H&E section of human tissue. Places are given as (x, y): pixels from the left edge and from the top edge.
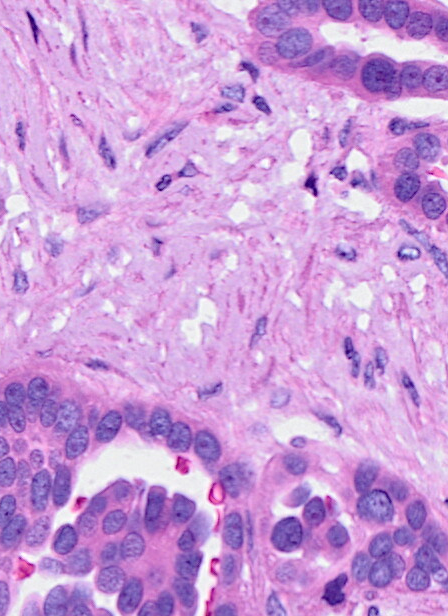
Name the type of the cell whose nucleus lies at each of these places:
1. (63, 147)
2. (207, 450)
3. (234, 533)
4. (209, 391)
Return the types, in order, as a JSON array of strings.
["fibroblast", "carcinoma cell", "carcinoma cell", "fibroblast"]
